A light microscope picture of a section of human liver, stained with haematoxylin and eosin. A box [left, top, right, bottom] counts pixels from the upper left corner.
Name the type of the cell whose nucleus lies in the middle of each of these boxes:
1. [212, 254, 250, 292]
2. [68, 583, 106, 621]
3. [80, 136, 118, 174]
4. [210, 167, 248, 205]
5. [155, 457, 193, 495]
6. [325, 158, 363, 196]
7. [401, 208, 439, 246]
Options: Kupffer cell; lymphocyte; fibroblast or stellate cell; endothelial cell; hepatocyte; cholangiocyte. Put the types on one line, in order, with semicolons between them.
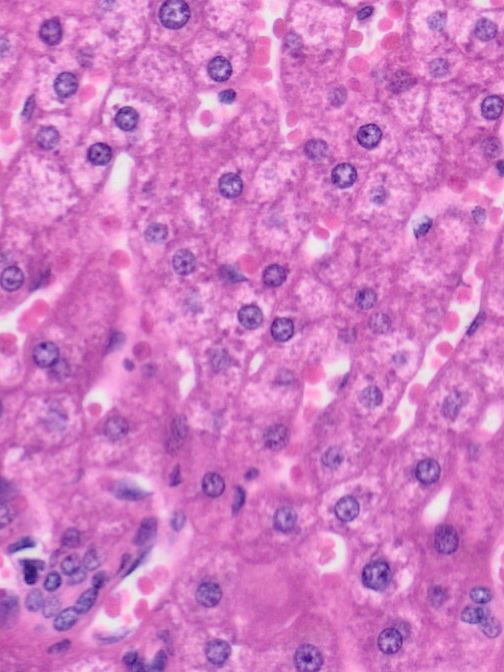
endothelial cell; cholangiocyte; hepatocyte; hepatocyte; fibroblast or stellate cell; hepatocyte; endothelial cell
